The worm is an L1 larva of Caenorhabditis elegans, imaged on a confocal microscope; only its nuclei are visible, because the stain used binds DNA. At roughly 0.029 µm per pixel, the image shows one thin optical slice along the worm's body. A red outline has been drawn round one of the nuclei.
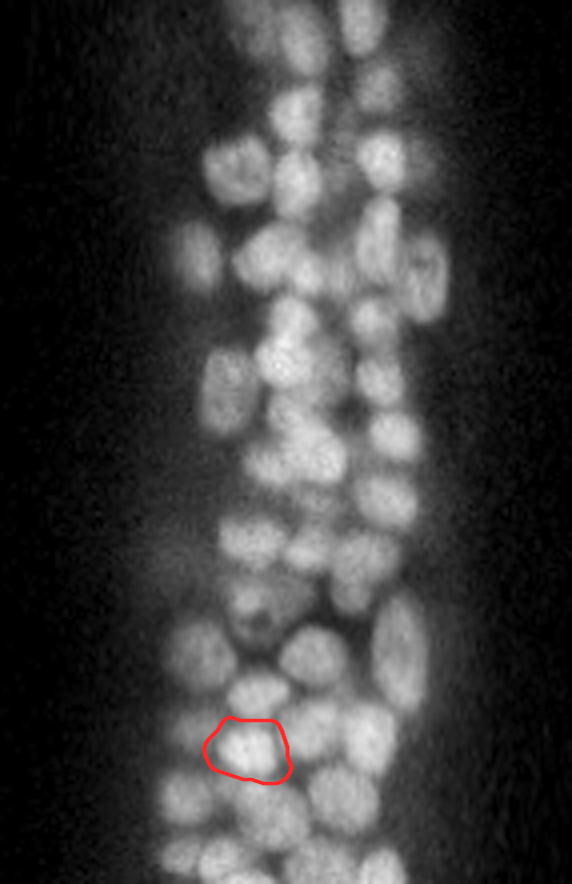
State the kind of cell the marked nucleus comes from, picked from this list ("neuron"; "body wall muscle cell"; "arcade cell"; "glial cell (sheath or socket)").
neuron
